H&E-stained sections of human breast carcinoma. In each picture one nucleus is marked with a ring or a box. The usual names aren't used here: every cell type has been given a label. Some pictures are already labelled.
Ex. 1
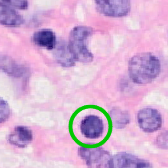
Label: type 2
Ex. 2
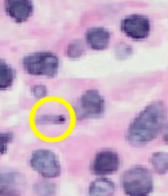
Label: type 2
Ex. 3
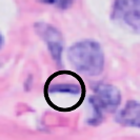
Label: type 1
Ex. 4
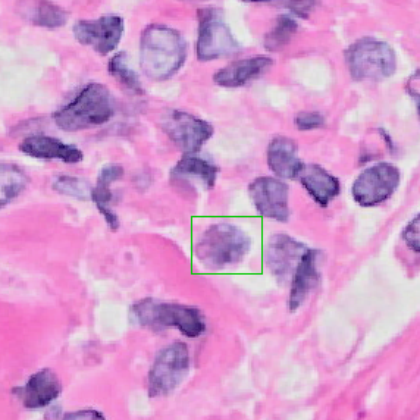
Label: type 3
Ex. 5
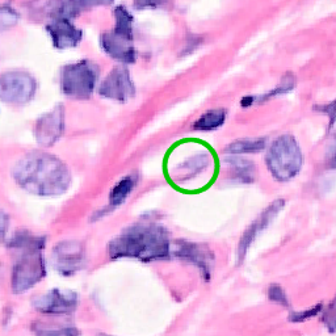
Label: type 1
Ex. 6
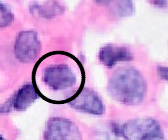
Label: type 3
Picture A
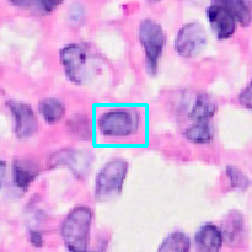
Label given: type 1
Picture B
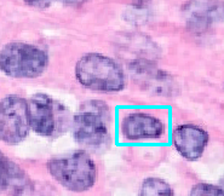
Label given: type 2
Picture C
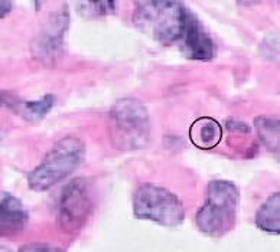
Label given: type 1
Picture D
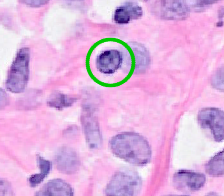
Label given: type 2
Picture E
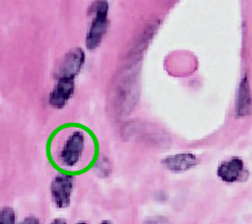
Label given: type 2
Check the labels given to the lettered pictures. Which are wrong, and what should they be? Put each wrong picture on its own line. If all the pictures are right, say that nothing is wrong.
A is labelled type 1; correct label: type 3
B is labelled type 2; correct label: type 3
